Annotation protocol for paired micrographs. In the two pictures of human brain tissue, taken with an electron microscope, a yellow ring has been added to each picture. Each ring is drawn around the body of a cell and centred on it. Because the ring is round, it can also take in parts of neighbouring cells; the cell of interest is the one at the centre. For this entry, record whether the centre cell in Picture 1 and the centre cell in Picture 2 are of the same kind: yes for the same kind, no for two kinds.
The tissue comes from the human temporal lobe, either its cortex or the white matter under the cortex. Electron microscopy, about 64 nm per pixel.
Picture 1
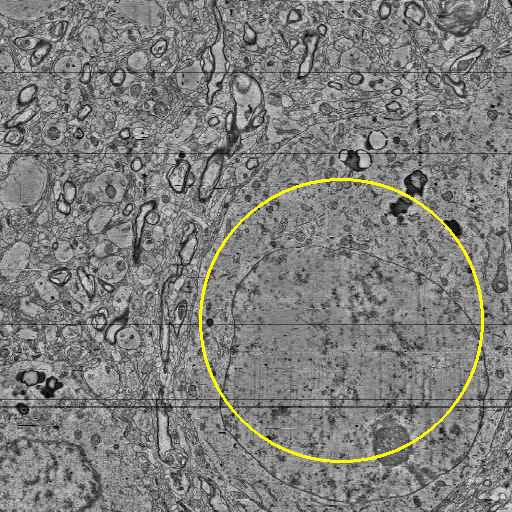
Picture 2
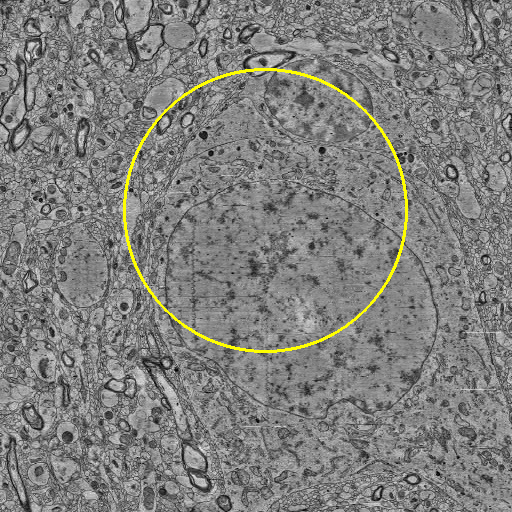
yes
